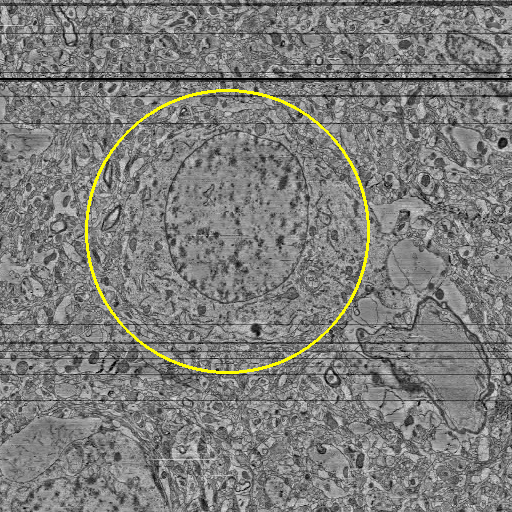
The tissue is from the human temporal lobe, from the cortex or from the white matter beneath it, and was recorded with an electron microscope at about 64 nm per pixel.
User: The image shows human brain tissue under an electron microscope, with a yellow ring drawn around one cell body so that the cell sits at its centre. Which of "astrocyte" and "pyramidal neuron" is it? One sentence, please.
At the centre of the ring sits a pyramidal neuron.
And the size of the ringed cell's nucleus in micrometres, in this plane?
The nucleus is approximately 12 micrometers long by 9 micrometers wide in this plane.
